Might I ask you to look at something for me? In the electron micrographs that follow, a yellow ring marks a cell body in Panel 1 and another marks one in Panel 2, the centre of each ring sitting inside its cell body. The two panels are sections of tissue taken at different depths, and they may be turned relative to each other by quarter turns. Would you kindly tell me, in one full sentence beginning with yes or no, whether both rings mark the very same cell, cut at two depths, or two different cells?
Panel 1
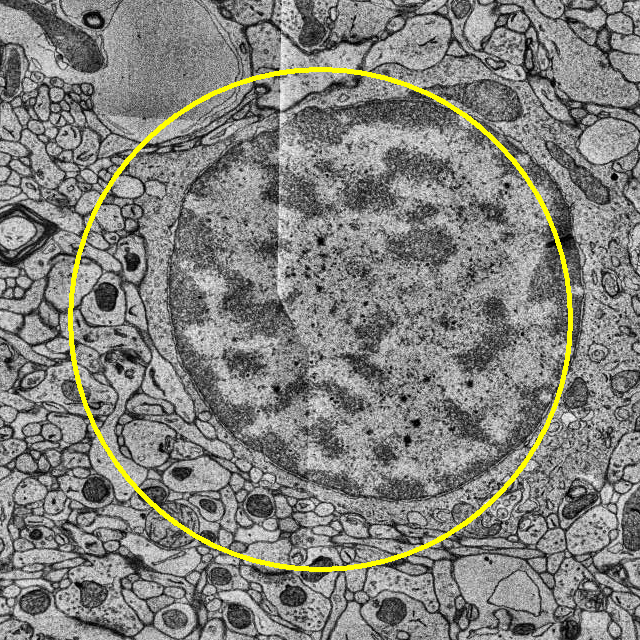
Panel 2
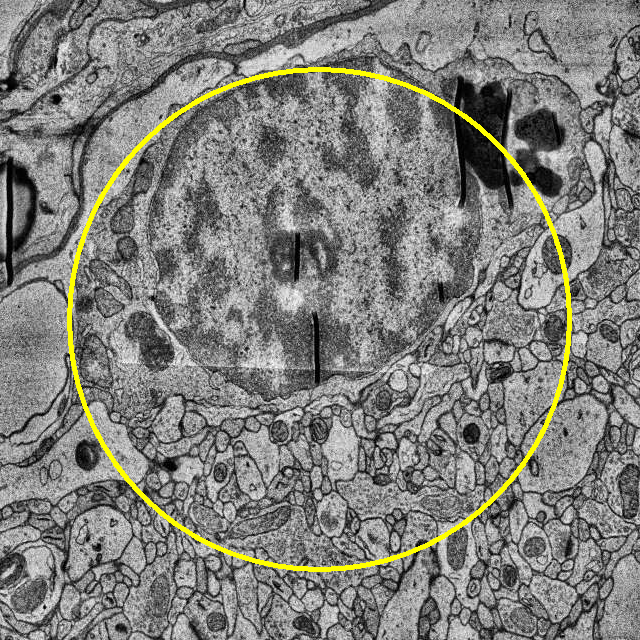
No, the two rings indicate two different cells, not one.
